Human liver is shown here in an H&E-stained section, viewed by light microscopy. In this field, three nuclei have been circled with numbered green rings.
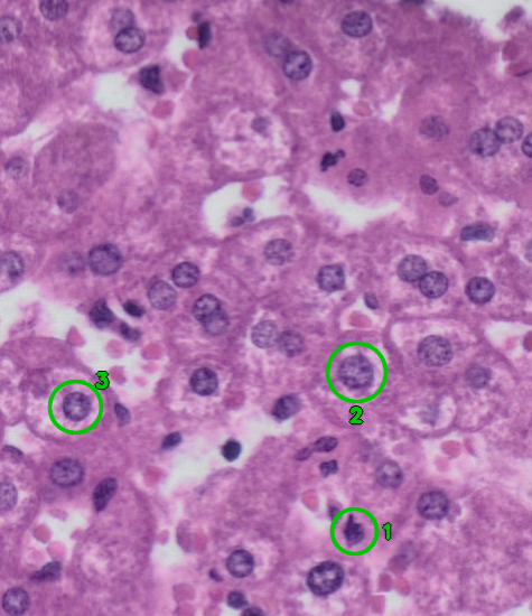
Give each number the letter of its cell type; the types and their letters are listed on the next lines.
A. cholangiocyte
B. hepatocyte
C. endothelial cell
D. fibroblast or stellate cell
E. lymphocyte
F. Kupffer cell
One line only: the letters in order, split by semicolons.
D; B; B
